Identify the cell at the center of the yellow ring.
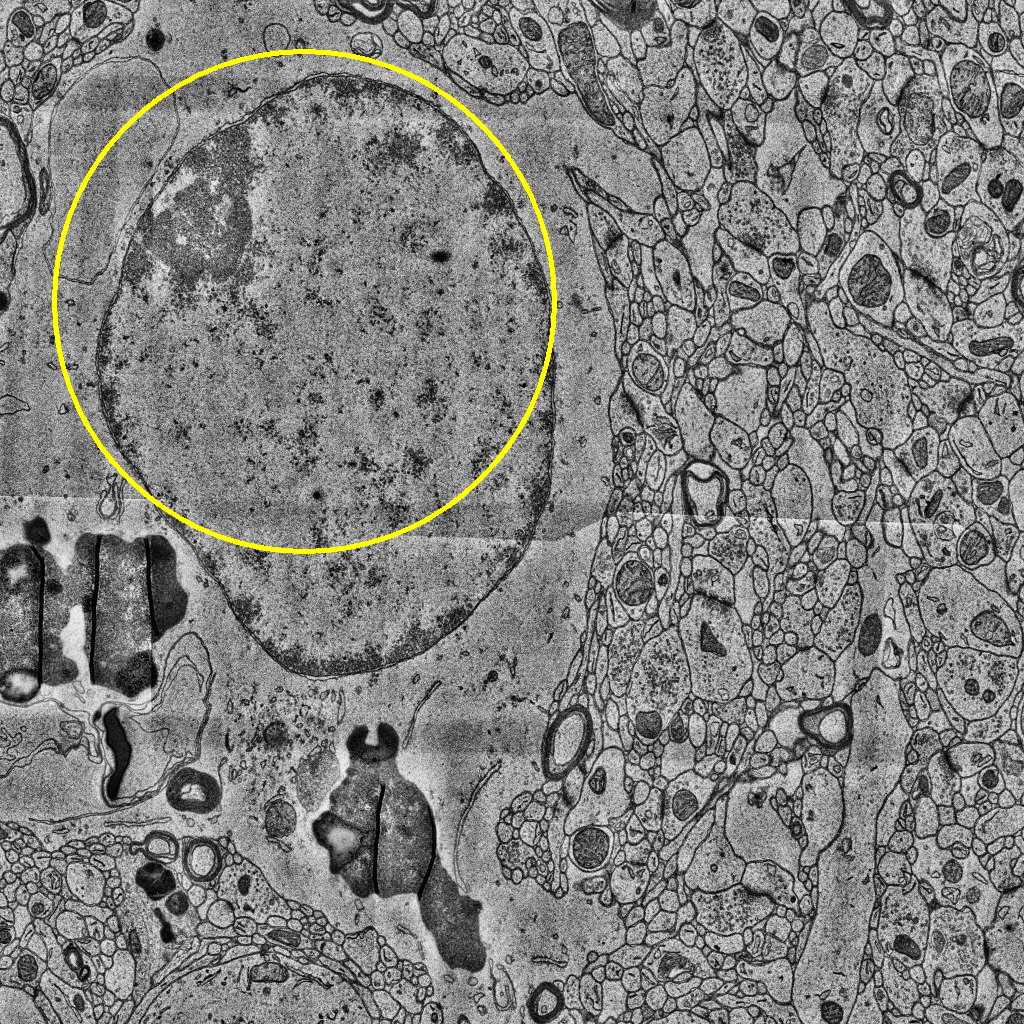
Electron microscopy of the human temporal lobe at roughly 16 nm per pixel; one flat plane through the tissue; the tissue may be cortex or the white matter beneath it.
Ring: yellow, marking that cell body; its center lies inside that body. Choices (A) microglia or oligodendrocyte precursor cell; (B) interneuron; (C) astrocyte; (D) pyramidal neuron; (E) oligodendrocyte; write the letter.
C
